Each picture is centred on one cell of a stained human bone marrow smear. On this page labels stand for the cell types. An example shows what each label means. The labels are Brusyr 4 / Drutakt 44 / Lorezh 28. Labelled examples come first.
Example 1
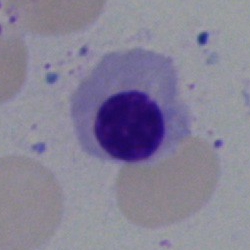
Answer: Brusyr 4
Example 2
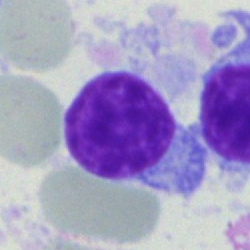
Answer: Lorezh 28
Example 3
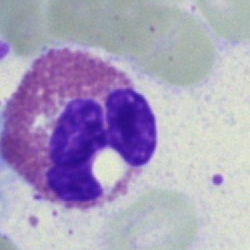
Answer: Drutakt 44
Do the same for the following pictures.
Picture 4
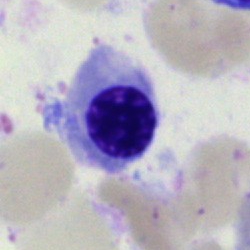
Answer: Brusyr 4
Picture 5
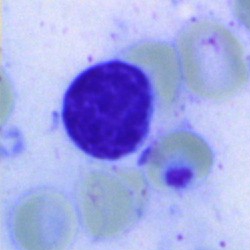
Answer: Lorezh 28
